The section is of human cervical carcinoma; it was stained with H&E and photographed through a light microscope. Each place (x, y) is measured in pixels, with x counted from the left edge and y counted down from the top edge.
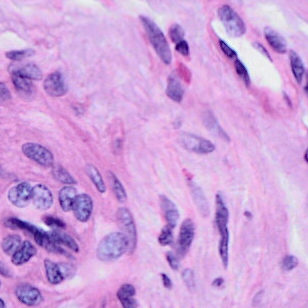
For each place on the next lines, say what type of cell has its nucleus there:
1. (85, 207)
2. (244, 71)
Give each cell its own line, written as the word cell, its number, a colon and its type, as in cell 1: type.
cell 1: smooth muscle cell
cell 2: endothelial cell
